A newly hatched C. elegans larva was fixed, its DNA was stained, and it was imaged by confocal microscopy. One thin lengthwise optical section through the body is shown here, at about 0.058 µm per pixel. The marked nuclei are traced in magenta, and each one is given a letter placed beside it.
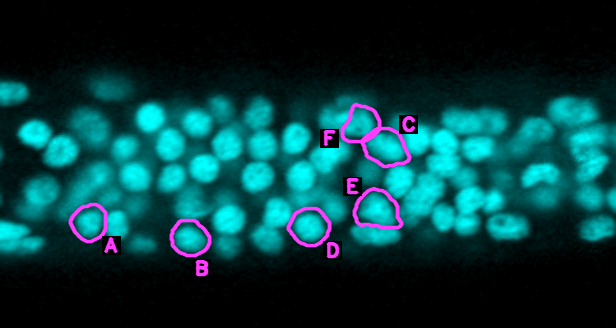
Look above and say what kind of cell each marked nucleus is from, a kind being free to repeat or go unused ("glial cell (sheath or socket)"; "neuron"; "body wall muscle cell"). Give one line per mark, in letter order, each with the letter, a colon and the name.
A: neuron
B: neuron
C: glial cell (sheath or socket)
D: neuron
E: glial cell (sheath or socket)
F: body wall muscle cell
